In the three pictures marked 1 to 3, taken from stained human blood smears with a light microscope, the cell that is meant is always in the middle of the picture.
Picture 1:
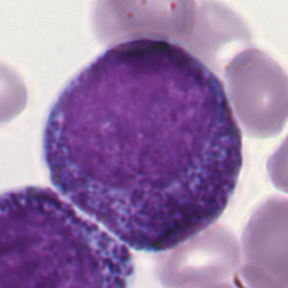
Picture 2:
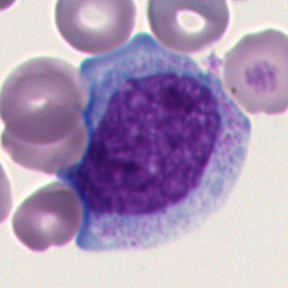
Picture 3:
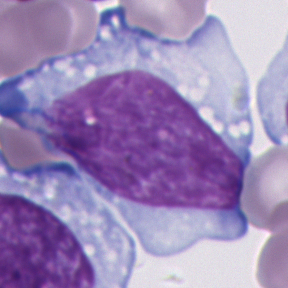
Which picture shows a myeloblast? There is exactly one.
3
